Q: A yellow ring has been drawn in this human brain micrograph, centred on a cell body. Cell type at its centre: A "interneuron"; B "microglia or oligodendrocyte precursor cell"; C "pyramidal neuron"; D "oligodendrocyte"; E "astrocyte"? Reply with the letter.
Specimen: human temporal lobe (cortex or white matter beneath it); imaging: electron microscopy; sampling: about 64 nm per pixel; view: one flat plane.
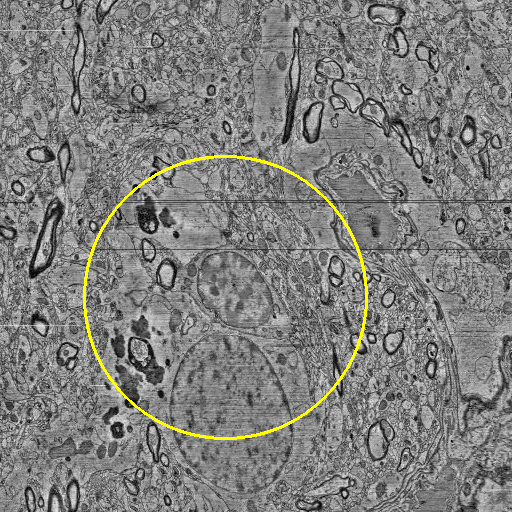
D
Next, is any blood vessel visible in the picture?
Yes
